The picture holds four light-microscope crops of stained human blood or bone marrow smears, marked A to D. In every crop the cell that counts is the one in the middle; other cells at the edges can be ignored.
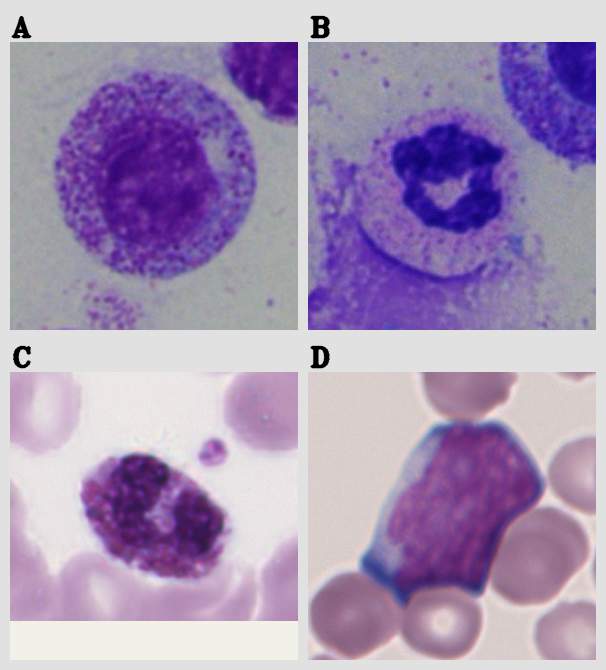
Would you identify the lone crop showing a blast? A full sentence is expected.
Crop D, of the crops presented, is the one showing a blast.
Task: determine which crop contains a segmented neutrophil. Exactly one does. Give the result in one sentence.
It is in crop B that a segmented neutrophil is shown.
